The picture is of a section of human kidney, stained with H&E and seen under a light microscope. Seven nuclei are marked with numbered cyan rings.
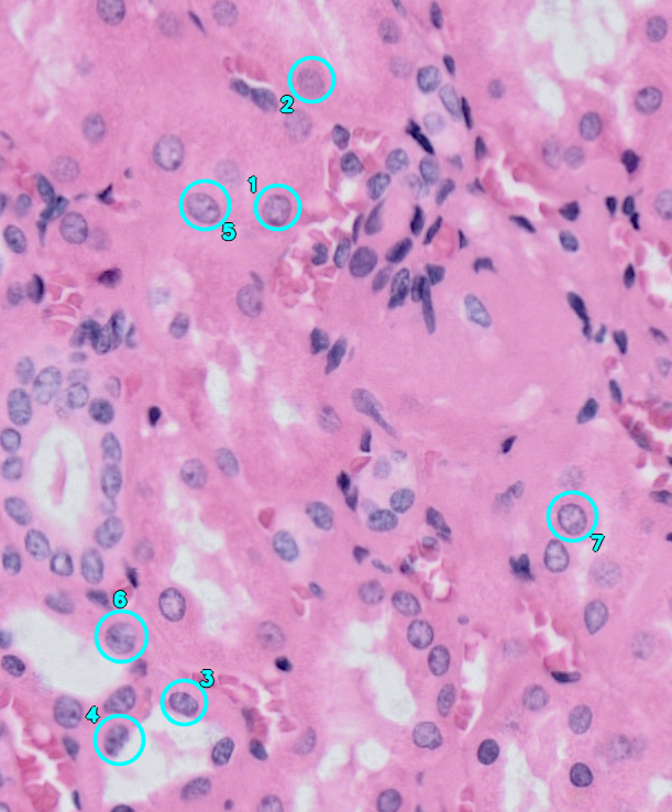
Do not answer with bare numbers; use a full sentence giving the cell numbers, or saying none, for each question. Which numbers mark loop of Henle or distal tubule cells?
The cells numbered 3, 4 and 6 are, by type, loop of Henle or distal tubule cells.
